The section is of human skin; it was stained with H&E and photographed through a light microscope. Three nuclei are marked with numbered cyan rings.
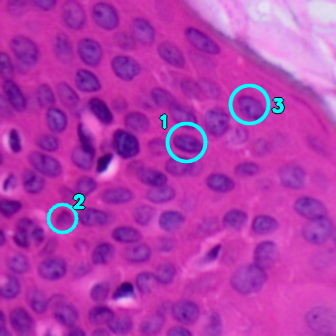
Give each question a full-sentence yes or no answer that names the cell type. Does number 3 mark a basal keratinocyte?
No, cell 3 does not count as a basal keratinocyte; it is a suprabasal keratinocyte.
